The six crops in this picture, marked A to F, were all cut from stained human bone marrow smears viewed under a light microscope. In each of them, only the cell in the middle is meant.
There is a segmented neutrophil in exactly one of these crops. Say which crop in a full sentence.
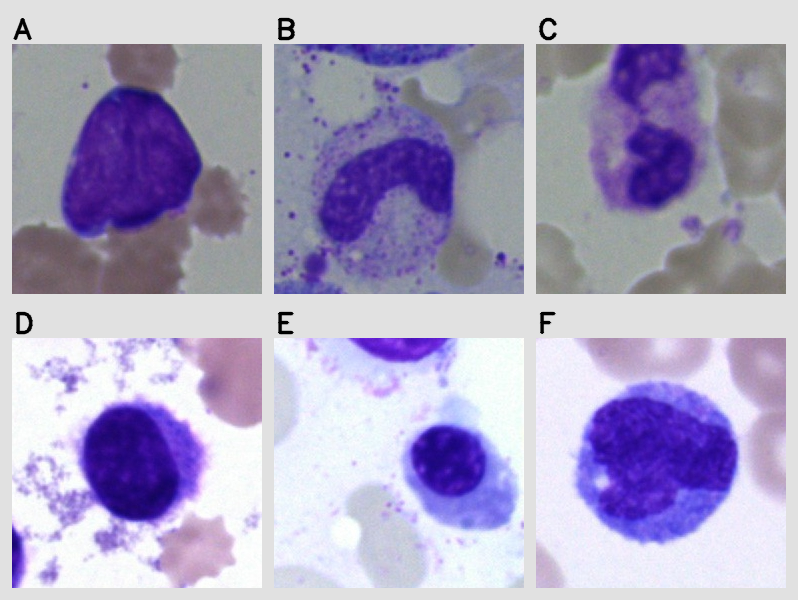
Of all the crops, crop C is the one showing a segmented neutrophil.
